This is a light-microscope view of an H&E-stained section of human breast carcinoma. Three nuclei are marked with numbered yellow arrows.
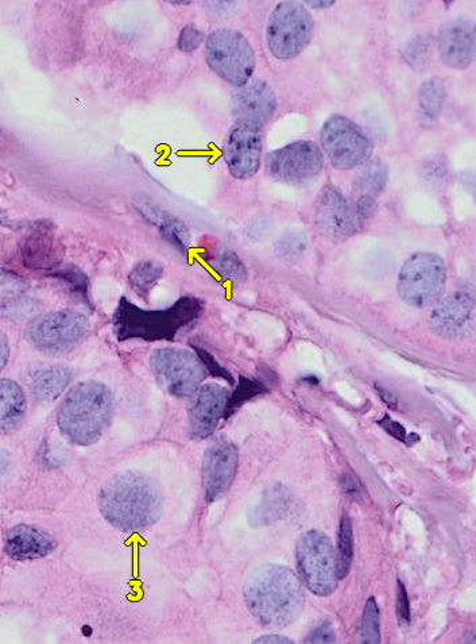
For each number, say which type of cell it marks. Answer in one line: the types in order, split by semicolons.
endothelial cell; carcinoma cell; carcinoma cell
